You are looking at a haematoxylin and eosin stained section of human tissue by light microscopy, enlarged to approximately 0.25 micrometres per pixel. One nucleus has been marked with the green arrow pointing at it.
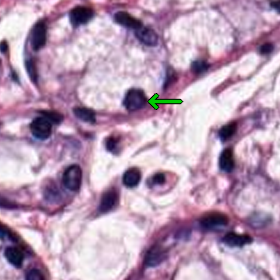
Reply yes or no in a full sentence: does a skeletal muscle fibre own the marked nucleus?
No, not a skeletal muscle fibre but a mucous gland cell contains the marked nucleus.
